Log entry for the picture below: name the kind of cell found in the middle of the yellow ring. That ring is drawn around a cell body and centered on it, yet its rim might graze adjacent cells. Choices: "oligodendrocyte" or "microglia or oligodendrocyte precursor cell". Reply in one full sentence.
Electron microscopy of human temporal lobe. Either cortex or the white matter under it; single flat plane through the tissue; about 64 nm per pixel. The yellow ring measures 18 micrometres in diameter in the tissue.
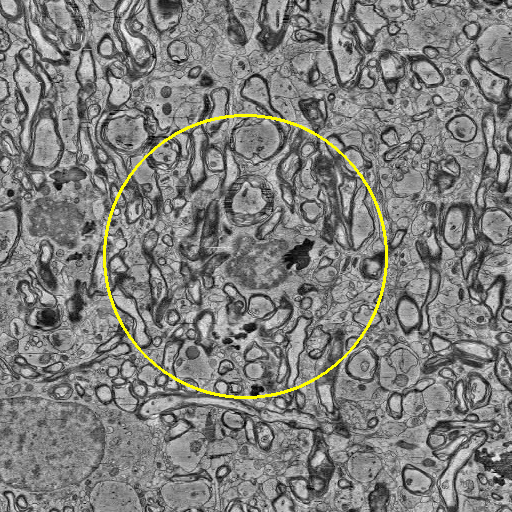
The cell in the middle of the yellow ring in this picture is an oligodendrocyte.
